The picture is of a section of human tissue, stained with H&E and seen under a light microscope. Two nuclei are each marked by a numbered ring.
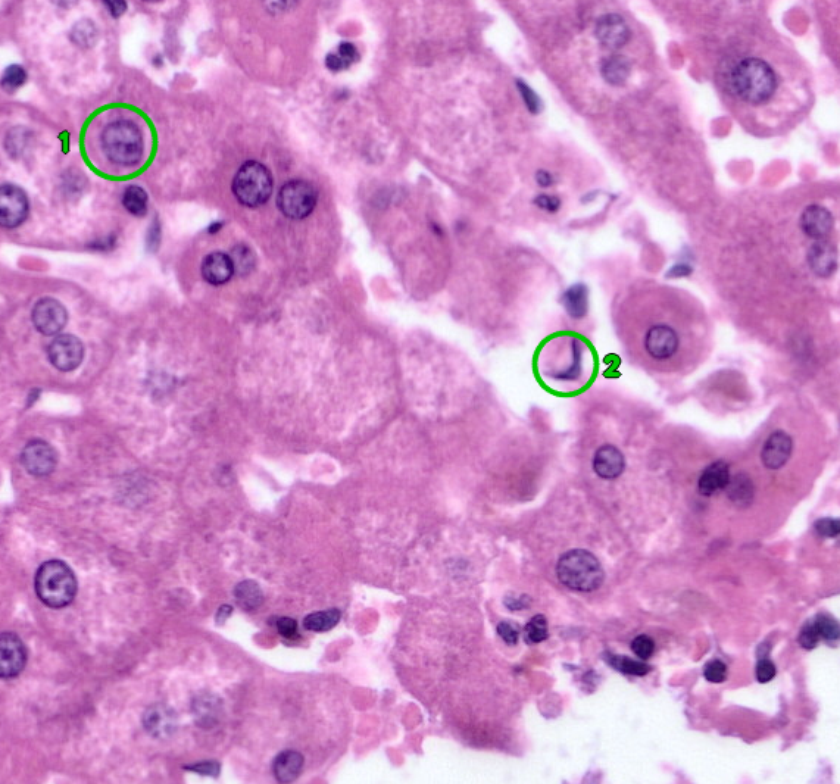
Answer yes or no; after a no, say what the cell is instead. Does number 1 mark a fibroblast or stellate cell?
No, it is a hepatocyte.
